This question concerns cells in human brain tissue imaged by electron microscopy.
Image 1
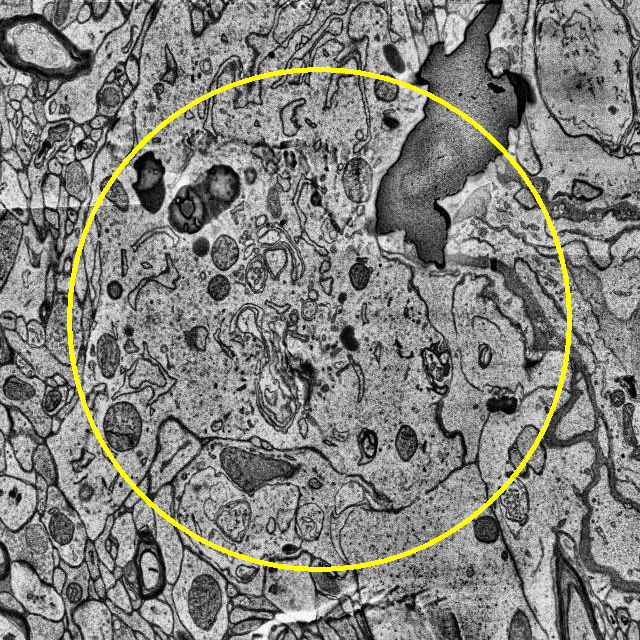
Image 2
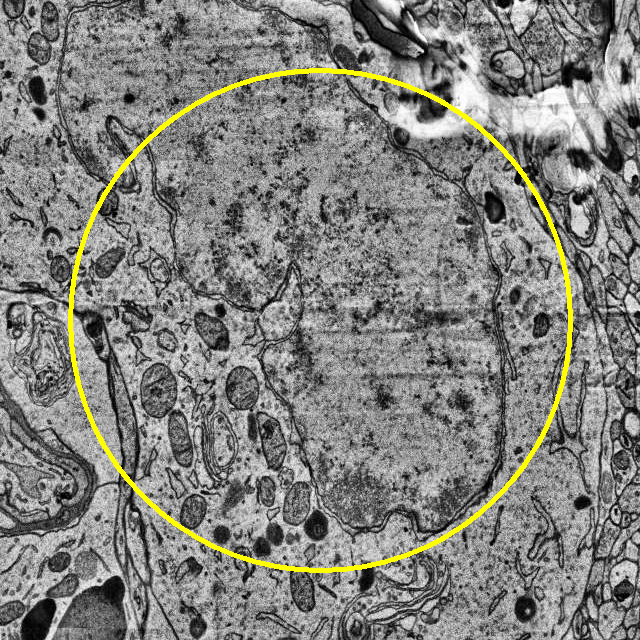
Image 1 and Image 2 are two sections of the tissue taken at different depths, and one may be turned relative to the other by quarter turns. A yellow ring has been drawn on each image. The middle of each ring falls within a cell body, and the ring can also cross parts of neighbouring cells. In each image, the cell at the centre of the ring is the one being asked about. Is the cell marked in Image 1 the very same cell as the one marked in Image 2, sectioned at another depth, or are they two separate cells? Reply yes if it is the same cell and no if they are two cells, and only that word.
yes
